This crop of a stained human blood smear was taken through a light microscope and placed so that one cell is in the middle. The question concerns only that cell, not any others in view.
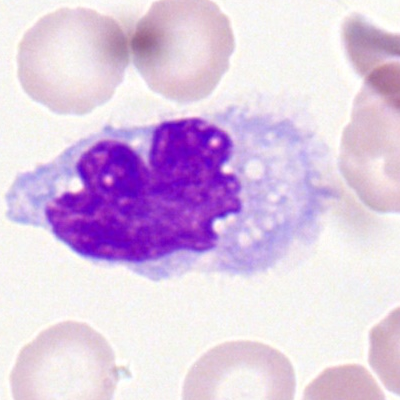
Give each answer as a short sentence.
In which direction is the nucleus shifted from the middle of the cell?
Seen from the middle of the cell, the nucleus lies toward the left.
